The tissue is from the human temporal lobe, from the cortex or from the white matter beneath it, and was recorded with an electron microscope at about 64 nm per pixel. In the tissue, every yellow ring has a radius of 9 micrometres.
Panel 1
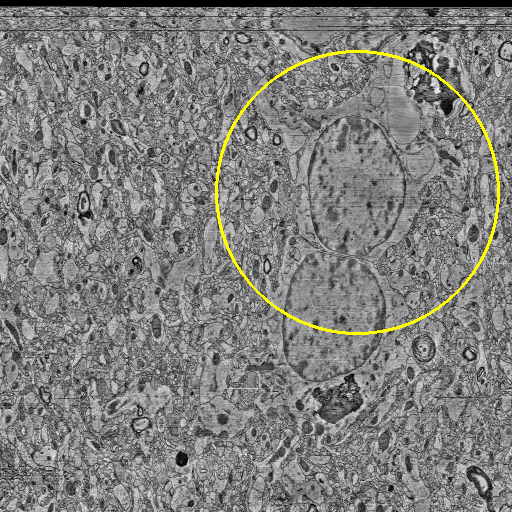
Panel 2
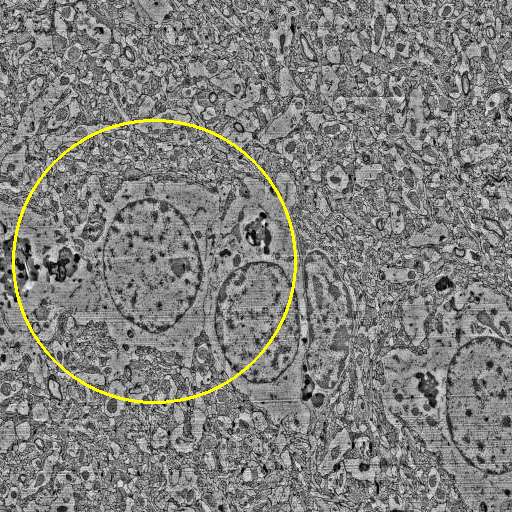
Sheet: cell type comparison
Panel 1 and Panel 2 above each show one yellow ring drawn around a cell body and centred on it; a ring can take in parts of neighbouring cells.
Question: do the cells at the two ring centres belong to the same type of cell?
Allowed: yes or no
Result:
yes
